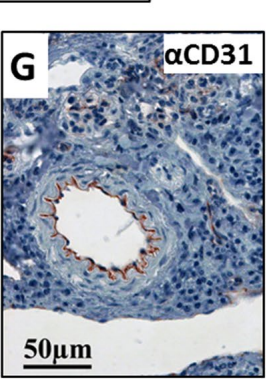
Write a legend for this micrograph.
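A round, open vessel lumen is lined by a thin layer of flat cells whose surface stains brown, and it is ringed by several layers of cells with blue oval nuclei. Around it lies densely packed tissue full of blue nuclei, with a few other small brown-stained spots. The brown-lined cells are the endothelial cells of a small blood vessel.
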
